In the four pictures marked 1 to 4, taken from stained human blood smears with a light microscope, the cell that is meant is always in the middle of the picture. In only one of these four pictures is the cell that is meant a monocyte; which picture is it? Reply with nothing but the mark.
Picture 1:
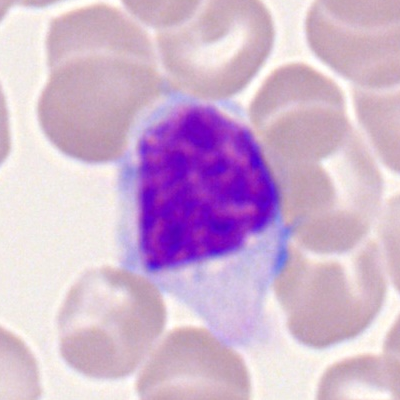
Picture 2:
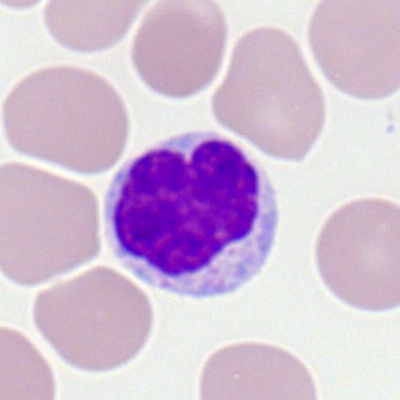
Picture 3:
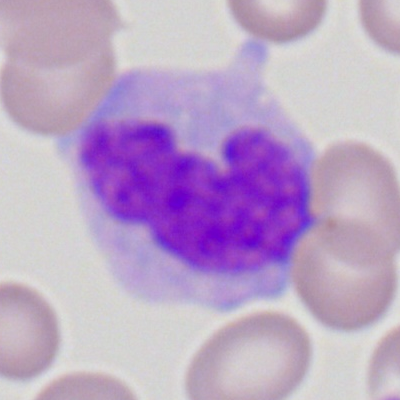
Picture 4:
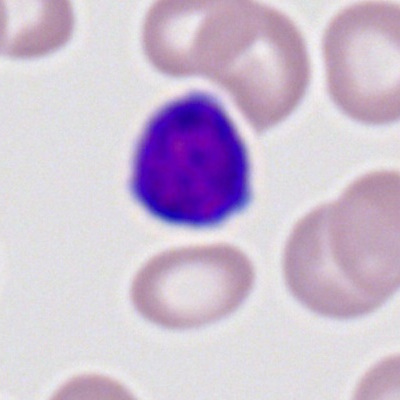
3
